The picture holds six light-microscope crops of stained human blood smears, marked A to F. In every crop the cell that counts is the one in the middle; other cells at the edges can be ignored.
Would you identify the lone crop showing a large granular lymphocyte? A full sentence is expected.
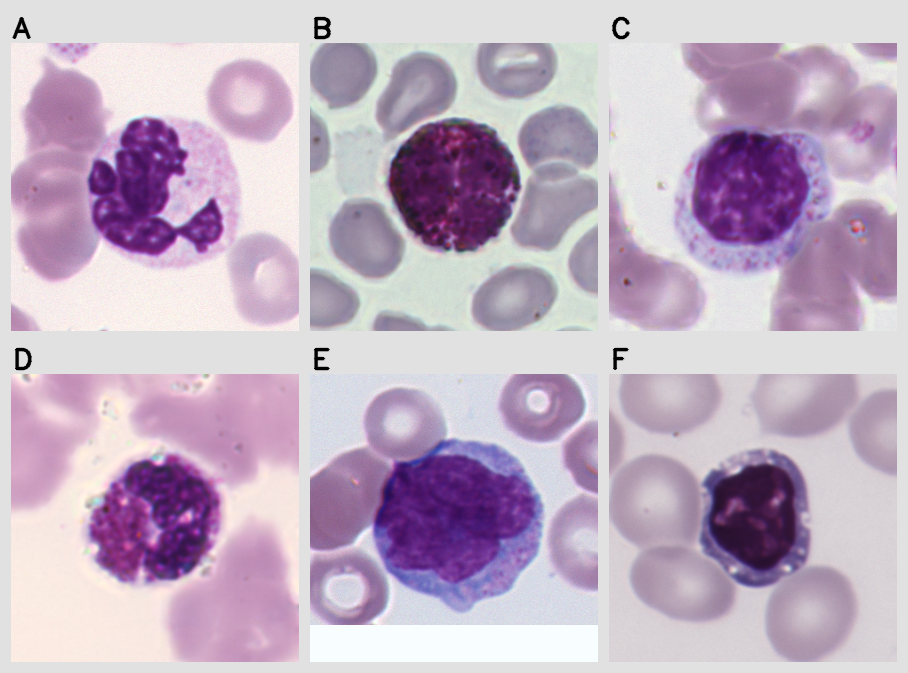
Of the crops shown, crop F depicts a large granular lymphocyte.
